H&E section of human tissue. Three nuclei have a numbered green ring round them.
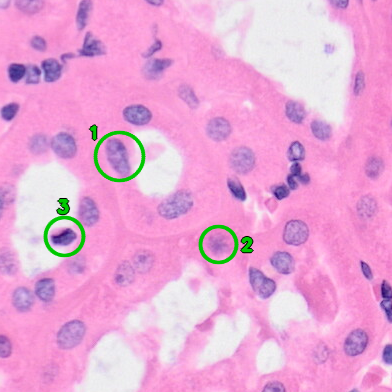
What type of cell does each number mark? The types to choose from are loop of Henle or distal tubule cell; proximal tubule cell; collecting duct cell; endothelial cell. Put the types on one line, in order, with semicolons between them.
loop of Henle or distal tubule cell; proximal tubule cell; loop of Henle or distal tubule cell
